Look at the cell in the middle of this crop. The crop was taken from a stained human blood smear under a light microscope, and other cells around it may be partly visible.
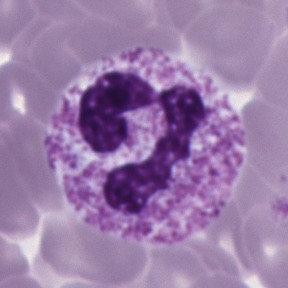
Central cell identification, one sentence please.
Whatever else lies nearby, the middle cell is a segmented neutrophil.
